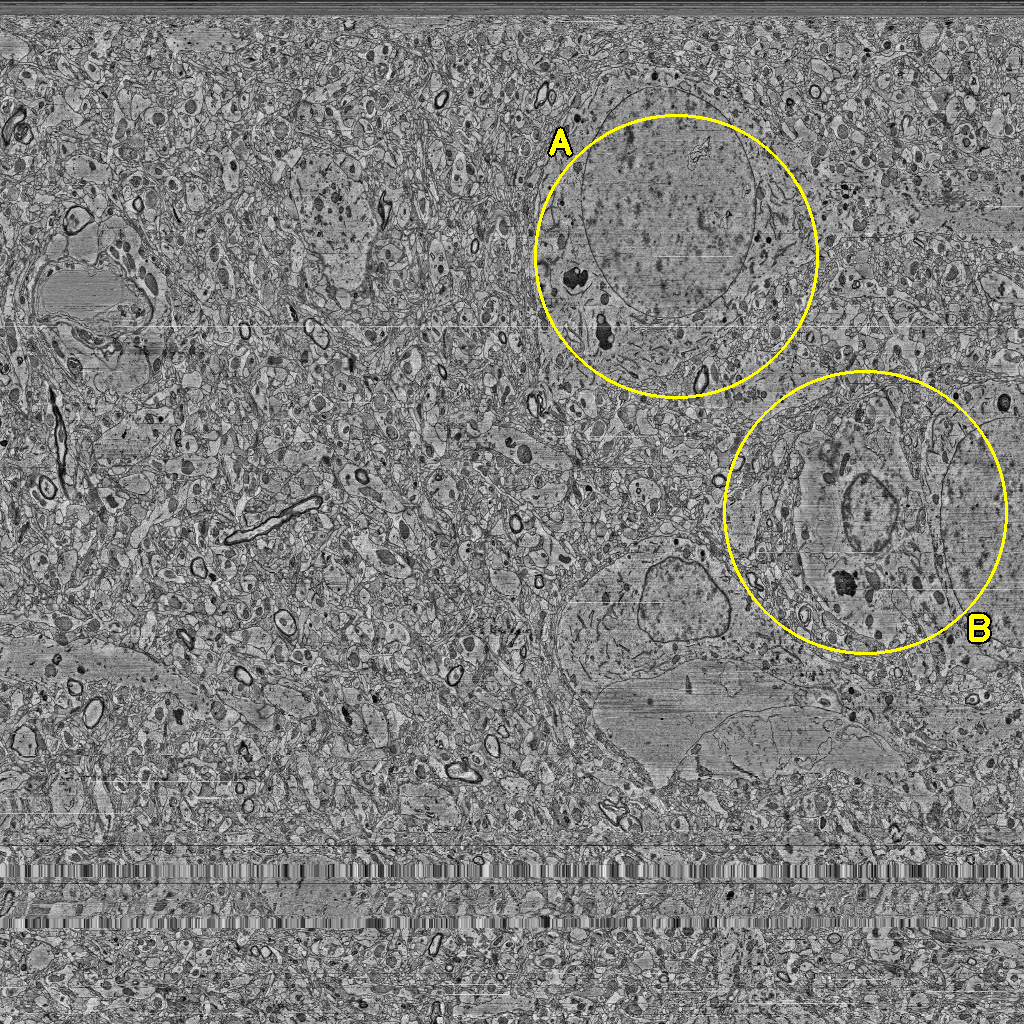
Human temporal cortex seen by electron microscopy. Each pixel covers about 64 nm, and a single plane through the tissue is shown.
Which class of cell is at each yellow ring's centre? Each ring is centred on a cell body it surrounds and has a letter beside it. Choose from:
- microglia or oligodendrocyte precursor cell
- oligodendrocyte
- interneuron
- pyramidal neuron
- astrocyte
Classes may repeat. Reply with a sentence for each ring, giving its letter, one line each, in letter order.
The ring lettered A is centred on a pyramidal neuron.
The ring lettered B is centred on an astrocyte.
